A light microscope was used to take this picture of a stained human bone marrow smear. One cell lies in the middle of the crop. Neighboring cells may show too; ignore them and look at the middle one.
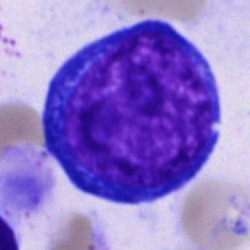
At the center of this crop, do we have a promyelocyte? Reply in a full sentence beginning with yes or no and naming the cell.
No, the centre of the crop is taken up by a proerythroblast, not a promyelocyte.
